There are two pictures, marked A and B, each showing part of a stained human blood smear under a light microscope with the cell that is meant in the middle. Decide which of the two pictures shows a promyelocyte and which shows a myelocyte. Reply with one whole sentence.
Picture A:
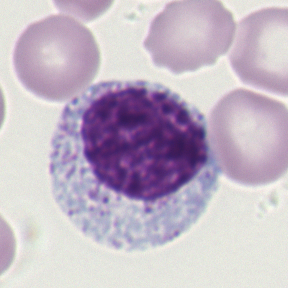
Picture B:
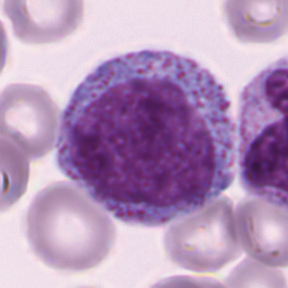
In picture A the cell is a myelocyte; in picture B, a promyelocyte.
